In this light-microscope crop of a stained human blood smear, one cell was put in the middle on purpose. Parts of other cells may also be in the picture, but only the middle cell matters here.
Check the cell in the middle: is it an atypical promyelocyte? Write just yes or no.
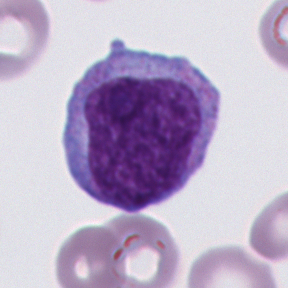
yes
